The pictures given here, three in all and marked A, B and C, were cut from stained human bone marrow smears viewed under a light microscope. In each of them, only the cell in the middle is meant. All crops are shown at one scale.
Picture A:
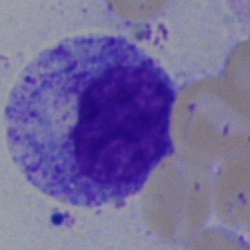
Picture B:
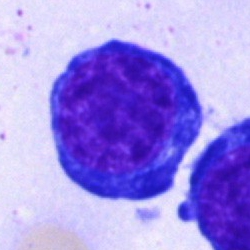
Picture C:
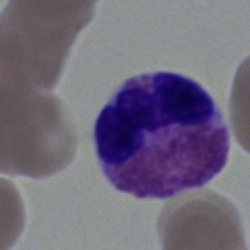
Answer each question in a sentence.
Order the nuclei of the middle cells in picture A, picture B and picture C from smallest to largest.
The order is C, A, B, beginning with the smallest.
